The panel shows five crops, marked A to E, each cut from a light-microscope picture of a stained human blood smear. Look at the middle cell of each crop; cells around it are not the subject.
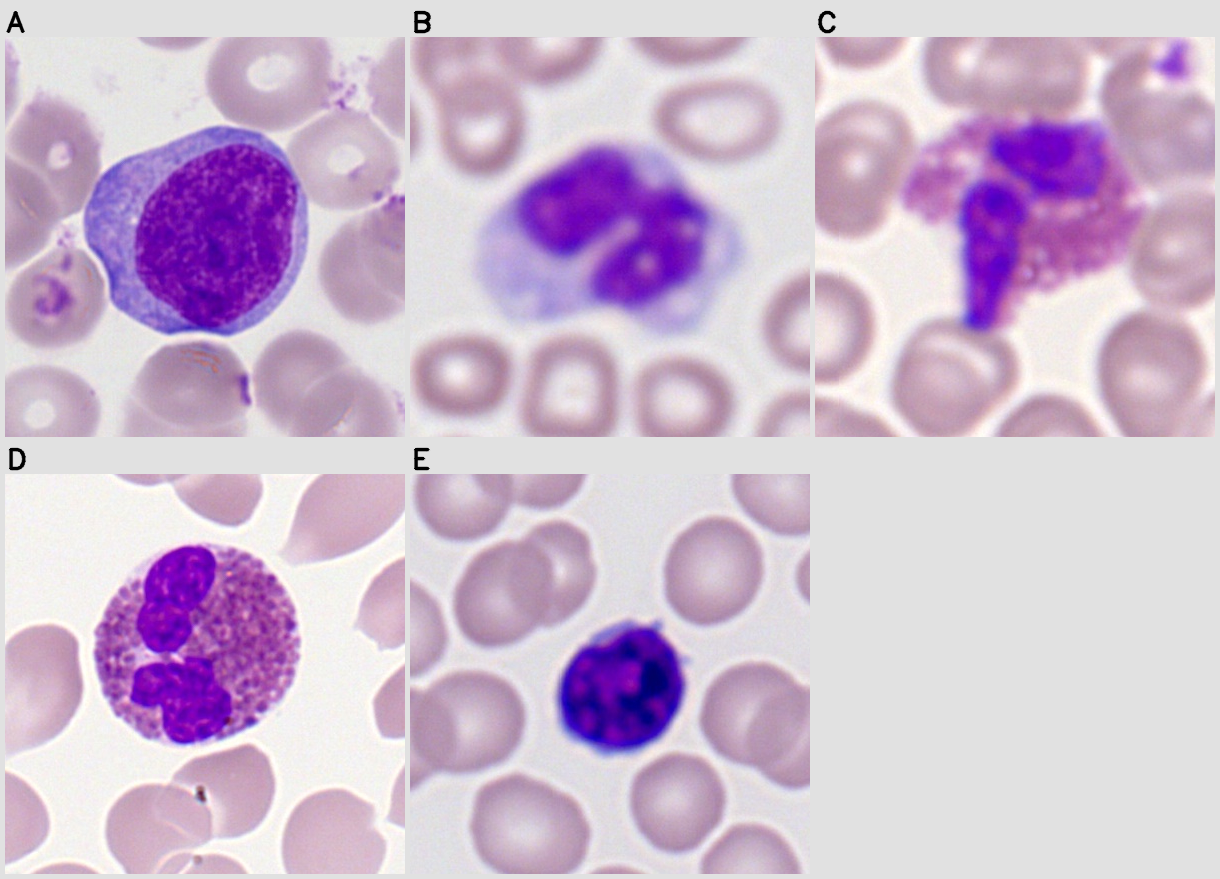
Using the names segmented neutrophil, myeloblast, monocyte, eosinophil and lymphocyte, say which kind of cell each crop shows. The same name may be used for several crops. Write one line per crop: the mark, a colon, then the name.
A: myeloblast
B: monocyte
C: eosinophil
D: eosinophil
E: lymphocyte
